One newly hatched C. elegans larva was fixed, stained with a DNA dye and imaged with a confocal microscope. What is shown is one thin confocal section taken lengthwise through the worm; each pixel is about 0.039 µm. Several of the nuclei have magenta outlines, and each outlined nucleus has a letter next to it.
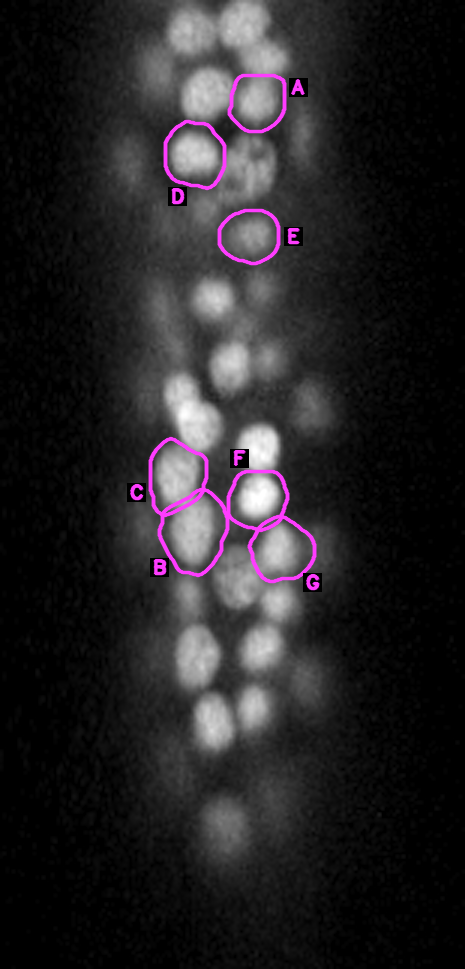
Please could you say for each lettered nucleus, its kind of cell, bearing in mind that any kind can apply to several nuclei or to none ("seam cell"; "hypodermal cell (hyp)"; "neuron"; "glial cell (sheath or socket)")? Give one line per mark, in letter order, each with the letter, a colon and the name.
A: neuron
B: glial cell (sheath or socket)
C: hypodermal cell (hyp)
D: neuron
E: neuron
F: glial cell (sheath or socket)
G: glial cell (sheath or socket)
